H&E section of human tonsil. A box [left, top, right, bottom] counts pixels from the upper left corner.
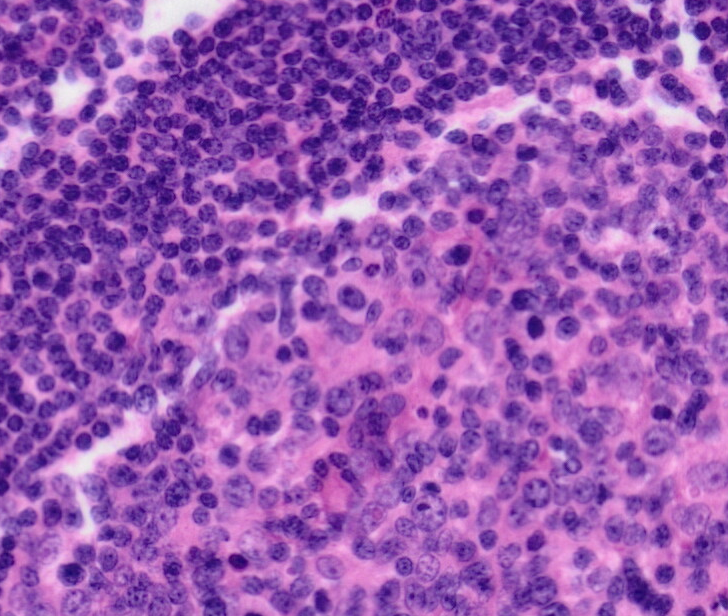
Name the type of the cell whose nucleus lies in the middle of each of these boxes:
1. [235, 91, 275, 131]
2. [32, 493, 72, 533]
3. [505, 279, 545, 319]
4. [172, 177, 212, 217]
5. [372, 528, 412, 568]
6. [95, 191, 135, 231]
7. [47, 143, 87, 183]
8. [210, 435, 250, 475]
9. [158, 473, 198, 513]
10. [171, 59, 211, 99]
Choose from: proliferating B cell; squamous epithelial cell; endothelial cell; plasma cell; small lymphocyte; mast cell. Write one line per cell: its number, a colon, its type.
1: small lymphocyte
2: proliferating B cell
3: proliferating B cell
4: small lymphocyte
5: proliferating B cell
6: small lymphocyte
7: small lymphocyte
8: proliferating B cell
9: proliferating B cell
10: small lymphocyte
